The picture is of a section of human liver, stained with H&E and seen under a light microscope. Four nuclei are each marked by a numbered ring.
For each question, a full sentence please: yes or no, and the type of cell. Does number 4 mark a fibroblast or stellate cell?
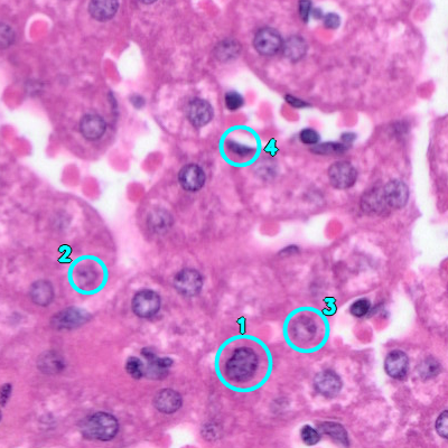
Yes, the cell with number 4 is a fibroblast or stellate cell.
